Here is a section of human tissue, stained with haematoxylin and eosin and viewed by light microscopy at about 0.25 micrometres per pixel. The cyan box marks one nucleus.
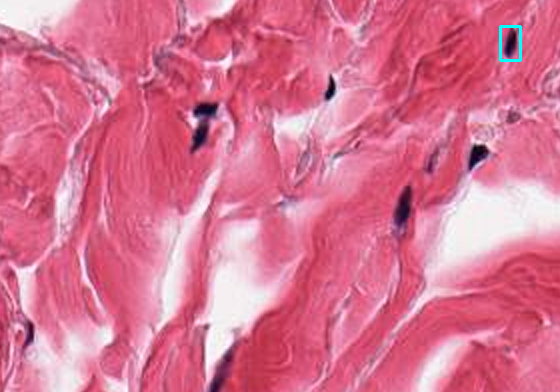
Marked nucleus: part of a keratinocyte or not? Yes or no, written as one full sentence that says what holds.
No, what the marked nucleus belongs to is a supporting cell, not a keratinocyte.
